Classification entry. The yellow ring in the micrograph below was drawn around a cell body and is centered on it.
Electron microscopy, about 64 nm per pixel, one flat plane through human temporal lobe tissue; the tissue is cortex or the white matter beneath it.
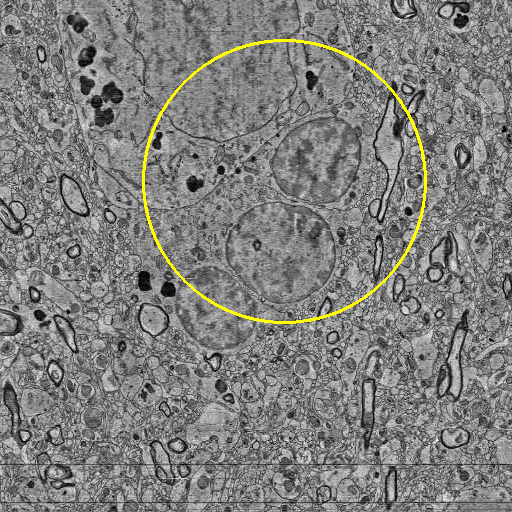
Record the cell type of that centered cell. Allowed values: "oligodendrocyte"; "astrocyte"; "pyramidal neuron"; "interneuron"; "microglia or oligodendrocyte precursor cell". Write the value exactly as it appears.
oligodendrocyte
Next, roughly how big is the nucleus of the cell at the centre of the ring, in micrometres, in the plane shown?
About 6 micrometres across, as seen in this plane.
